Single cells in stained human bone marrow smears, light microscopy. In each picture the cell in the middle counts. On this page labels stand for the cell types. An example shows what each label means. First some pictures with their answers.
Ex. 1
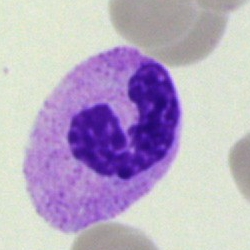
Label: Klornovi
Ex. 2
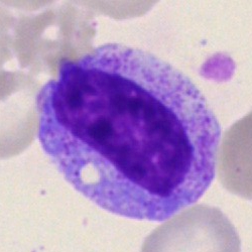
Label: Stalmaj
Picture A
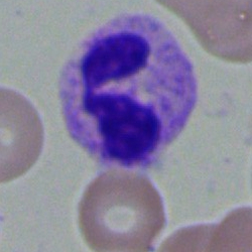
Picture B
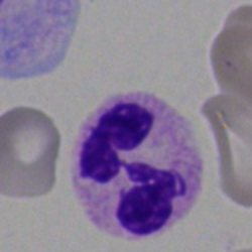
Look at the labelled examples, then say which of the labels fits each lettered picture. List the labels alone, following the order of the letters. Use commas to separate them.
Klornovi, Klornovi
